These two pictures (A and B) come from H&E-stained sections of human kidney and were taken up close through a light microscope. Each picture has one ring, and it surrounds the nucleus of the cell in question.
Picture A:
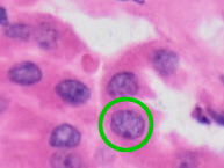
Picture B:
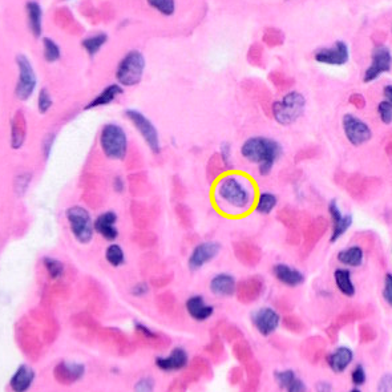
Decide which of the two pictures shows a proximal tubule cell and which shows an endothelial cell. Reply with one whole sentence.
It is picture A that shows a proximal tubule cell, and picture B that shows an endothelial cell.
